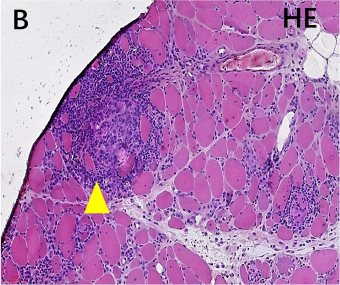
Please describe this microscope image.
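This is skeletal muscle cut across, with a dense focus of inflammatory cells at its edge. The muscle fibers are pink, polygonal to rounded profiles of rather varied size, separated by thin pale connective tissue. Into the space between them presses a crowded cluster of small cells with round, dark purple nuclei and very little cytoplasm, so that the focus looks blue from afar. Smaller groups of the same dark nuclei trail off between neighbouring fibers. Toward the top, a vessel sits in the connective tissue. Such a packed collection of small round cells among muscle fibers is not seen in normal muscle.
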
